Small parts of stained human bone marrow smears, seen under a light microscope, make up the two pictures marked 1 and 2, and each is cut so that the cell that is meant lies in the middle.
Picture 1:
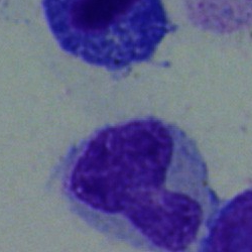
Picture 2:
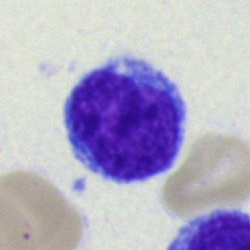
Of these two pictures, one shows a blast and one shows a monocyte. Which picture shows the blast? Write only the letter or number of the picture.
2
